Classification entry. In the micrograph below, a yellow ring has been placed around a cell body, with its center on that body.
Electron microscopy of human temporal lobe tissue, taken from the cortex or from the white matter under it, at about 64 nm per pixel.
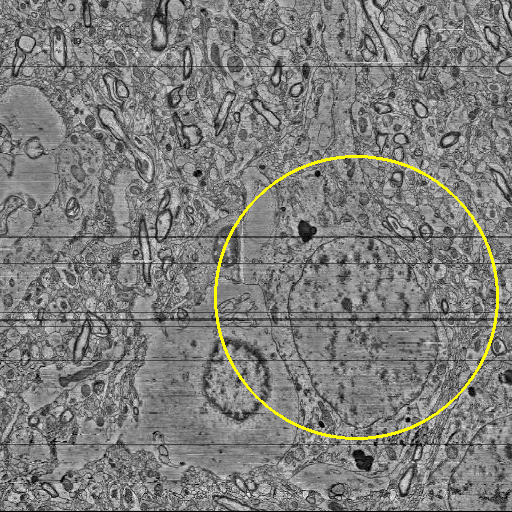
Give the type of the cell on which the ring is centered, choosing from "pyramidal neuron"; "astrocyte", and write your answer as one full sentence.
The cell body at the center of the yellow ring belongs to a pyramidal neuron.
